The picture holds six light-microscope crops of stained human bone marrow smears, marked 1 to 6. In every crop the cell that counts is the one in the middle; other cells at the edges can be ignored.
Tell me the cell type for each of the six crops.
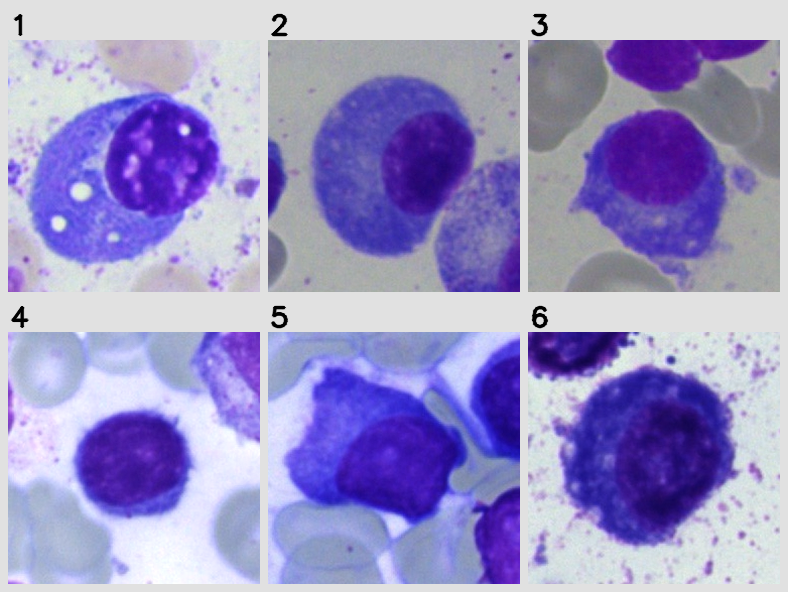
1: plasma cell
2: plasma cell
3: plasma cell
4: lymphocyte
5: plasma cell
6: plasma cell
